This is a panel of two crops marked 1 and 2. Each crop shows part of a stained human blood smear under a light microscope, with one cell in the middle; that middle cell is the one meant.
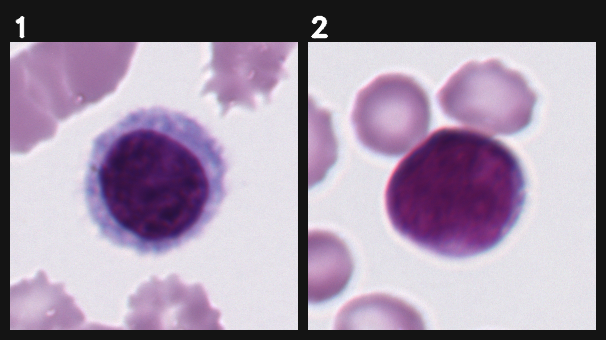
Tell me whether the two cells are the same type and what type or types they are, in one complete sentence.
No, the cell shown in crop 1 is a hairy cell, and the cell shown in crop 2 is a myeloblast.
